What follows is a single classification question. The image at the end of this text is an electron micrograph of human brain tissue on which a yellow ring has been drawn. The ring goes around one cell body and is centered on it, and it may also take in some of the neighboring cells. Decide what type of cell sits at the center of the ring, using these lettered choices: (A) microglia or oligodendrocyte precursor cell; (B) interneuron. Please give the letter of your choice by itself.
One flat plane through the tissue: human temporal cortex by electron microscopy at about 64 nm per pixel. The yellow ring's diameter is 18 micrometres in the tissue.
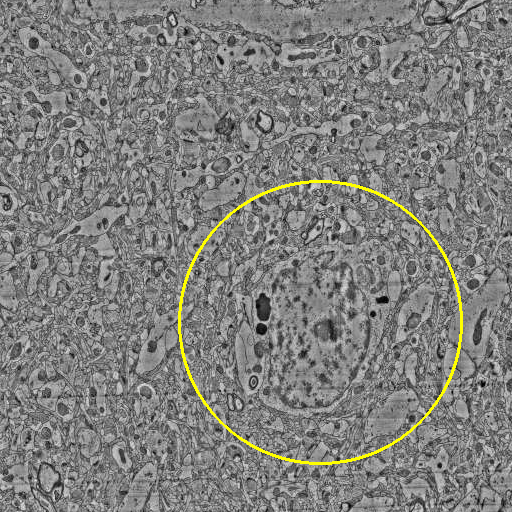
B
